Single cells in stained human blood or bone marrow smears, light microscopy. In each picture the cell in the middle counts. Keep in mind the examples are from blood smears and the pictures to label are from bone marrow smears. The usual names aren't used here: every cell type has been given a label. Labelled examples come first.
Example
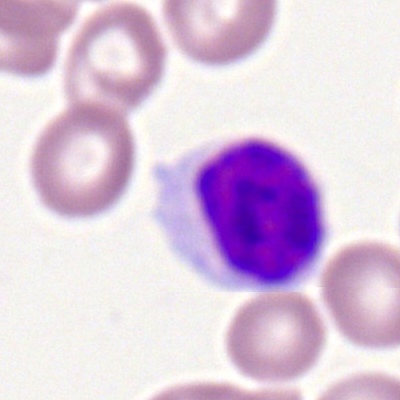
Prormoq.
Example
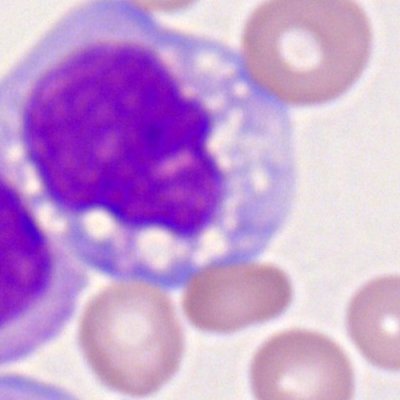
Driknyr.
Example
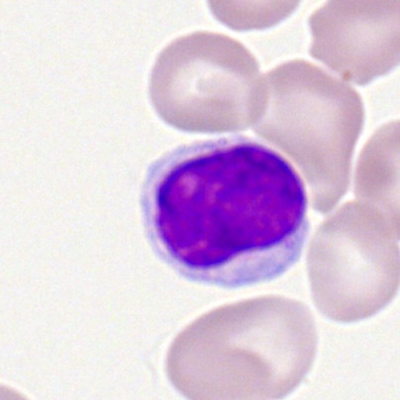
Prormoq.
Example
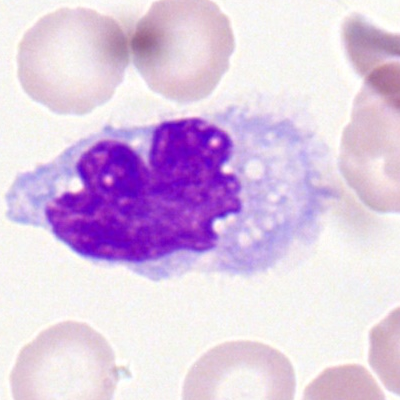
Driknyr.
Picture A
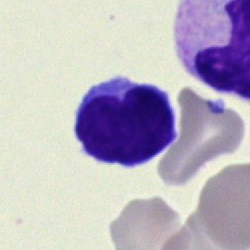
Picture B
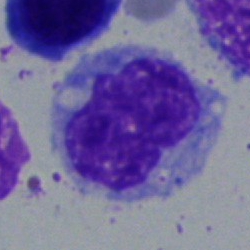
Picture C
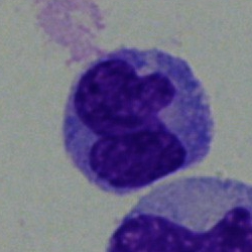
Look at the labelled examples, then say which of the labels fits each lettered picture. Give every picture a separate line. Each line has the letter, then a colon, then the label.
A: Prormoq.
B: Driknyr.
C: Driknyr.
